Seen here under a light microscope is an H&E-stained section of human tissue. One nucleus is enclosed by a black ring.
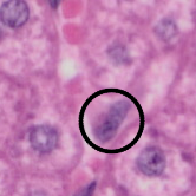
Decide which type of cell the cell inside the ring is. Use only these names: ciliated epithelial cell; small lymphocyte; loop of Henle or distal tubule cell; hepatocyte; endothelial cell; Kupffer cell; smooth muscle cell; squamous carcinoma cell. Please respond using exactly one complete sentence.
In the stained section, the cell inside the ring is a Kupffer cell.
